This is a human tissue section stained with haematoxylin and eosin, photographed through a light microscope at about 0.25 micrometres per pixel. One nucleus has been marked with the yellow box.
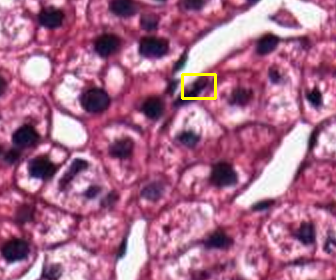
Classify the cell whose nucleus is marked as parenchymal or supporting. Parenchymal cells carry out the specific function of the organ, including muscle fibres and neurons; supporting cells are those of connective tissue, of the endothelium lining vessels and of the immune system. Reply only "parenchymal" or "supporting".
supporting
